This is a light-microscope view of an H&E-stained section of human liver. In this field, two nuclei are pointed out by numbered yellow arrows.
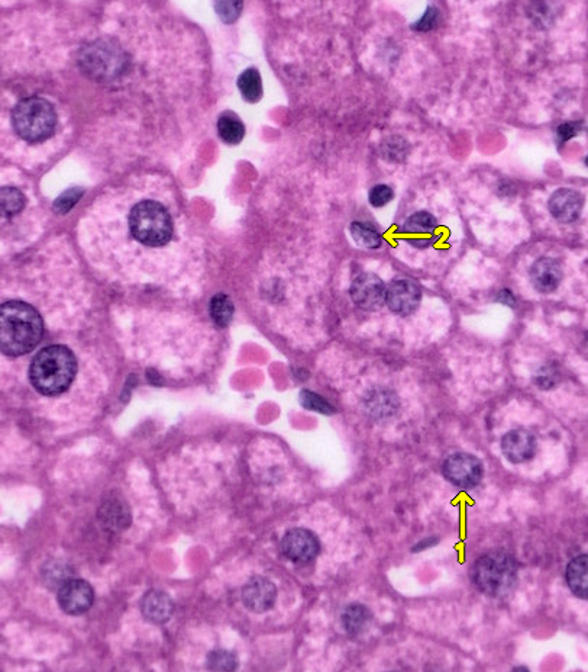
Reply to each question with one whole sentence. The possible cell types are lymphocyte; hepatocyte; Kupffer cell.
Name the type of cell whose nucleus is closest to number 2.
Number 2 lies closest to the nucleus of a lymphocyte.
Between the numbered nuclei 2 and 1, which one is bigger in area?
It is nucleus 1, which covers about 2 times the area of nucleus 2.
